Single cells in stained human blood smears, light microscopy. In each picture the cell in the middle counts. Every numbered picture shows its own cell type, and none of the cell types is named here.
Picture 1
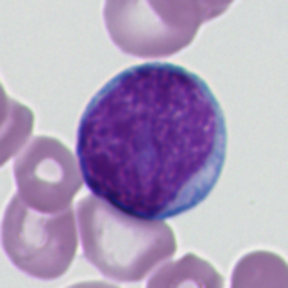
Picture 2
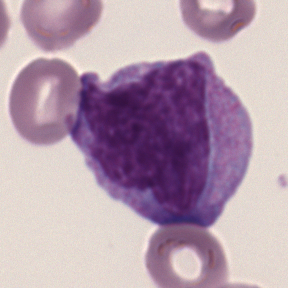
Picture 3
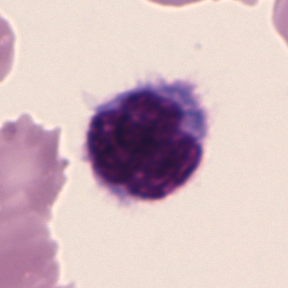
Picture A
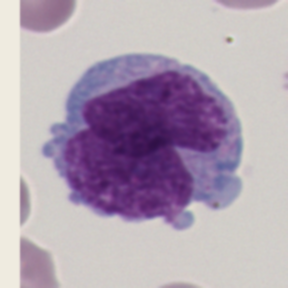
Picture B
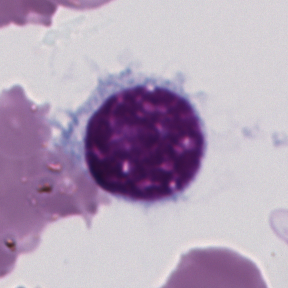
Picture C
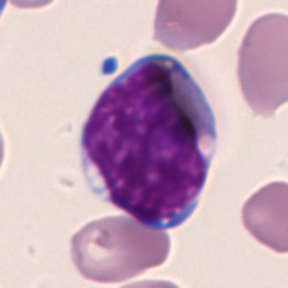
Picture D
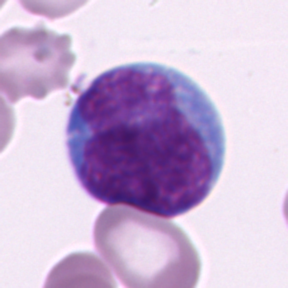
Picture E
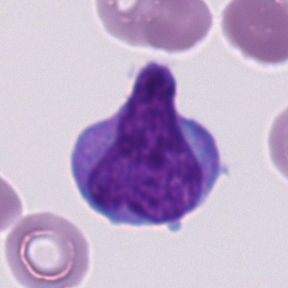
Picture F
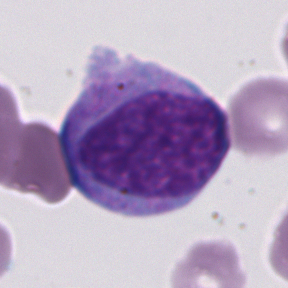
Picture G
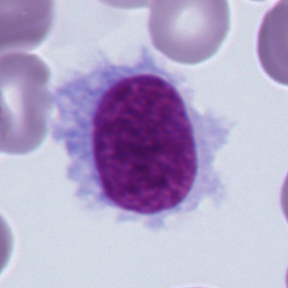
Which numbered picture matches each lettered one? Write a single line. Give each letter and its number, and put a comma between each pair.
A 2, B 3, C 1, D 1, E 2, F 2, G 3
